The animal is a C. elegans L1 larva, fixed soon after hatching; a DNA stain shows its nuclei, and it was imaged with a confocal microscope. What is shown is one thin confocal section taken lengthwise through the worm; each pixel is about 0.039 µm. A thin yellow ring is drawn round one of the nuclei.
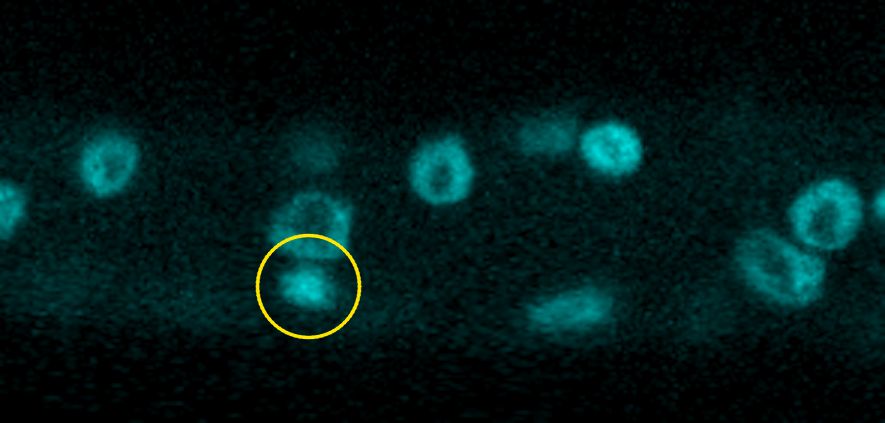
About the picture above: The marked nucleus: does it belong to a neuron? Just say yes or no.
yes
